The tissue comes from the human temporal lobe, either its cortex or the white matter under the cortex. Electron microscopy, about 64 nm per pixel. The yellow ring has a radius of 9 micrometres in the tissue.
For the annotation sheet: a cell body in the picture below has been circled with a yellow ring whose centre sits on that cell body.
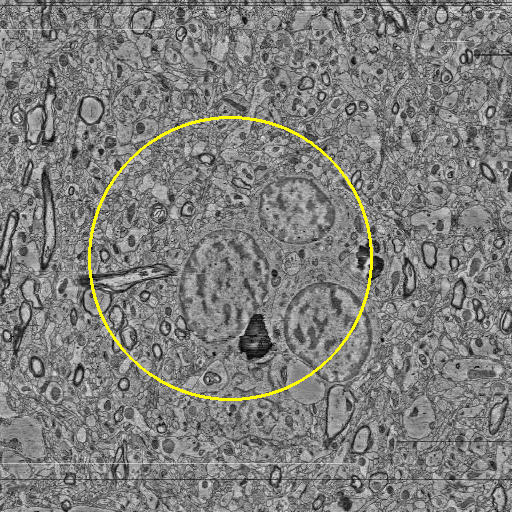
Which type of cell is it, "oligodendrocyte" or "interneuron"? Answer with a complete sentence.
The circled cell is an oligodendrocyte.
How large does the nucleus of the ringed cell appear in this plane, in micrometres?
The nucleus of the ringed cell is approximately 8 by 6 micrometres in this plane.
